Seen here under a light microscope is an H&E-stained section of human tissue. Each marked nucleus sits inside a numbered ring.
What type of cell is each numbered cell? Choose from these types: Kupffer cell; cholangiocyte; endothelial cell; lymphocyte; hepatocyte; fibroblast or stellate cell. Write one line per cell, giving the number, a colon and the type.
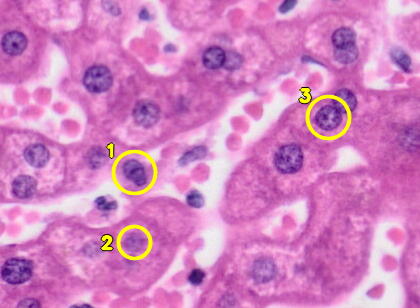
1: Kupffer cell
2: hepatocyte
3: hepatocyte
